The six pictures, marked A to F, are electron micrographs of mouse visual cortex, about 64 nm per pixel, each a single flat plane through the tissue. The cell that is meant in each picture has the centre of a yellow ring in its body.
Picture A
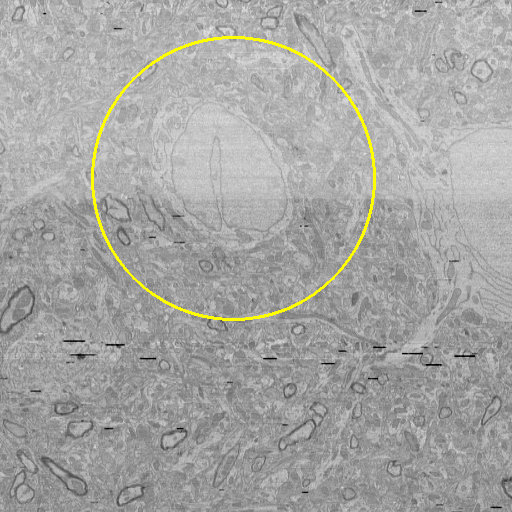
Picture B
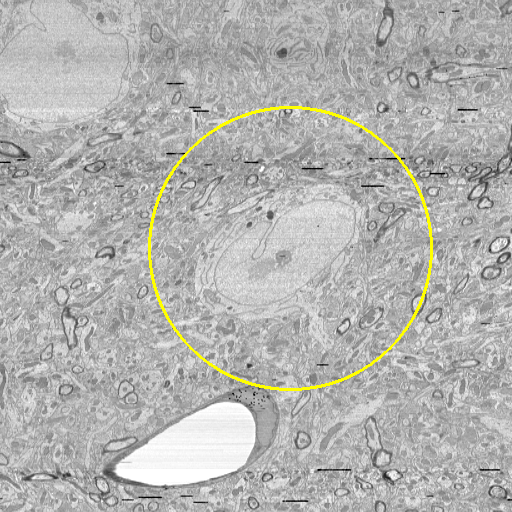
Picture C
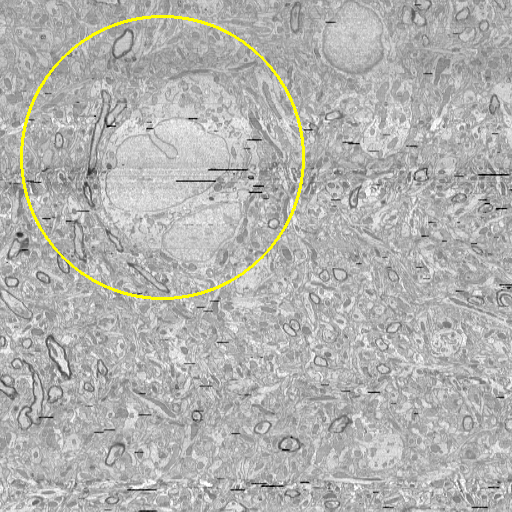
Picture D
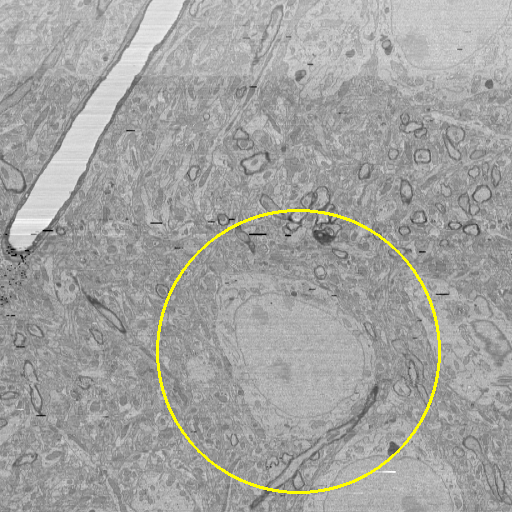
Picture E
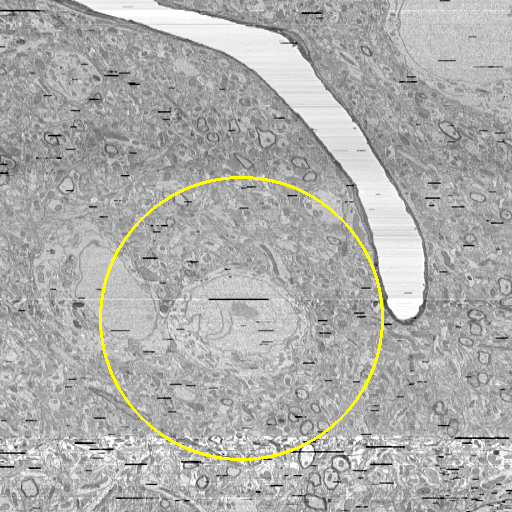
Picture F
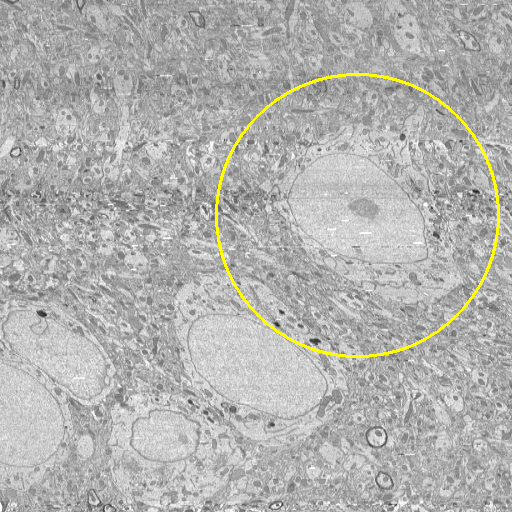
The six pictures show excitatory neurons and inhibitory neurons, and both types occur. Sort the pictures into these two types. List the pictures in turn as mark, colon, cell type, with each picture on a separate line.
A: excitatory neuron
B: inhibitory neuron
C: excitatory neuron
D: excitatory neuron
E: inhibitory neuron
F: excitatory neuron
